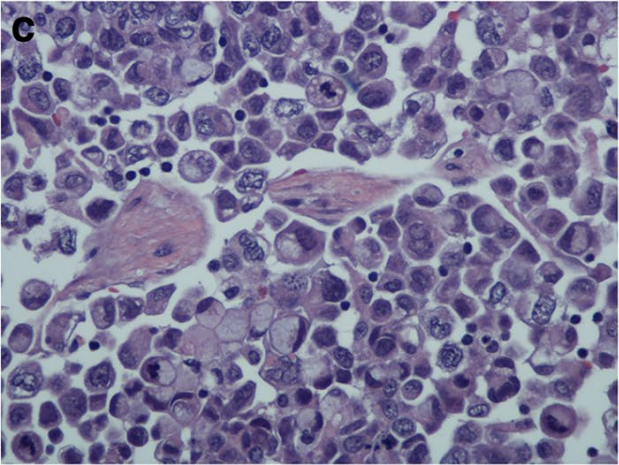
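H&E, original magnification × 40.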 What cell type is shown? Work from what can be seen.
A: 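Cells lie singly, separated by clear spaces.
Hence: dyscohesive cells.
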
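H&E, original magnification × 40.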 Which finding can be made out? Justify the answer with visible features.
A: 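Signet ring cell carcinoma. Nuclei compressed to the side of some cells. Atypical, hyperchromatic nuclei with mitotic figures.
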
